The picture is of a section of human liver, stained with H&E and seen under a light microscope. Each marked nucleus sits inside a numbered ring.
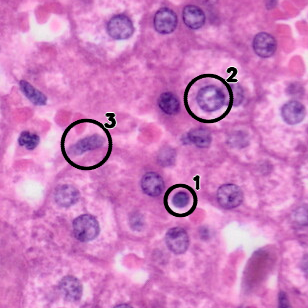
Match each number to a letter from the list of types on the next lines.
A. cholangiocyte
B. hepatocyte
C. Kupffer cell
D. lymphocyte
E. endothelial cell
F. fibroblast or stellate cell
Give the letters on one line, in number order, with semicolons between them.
D; B; C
